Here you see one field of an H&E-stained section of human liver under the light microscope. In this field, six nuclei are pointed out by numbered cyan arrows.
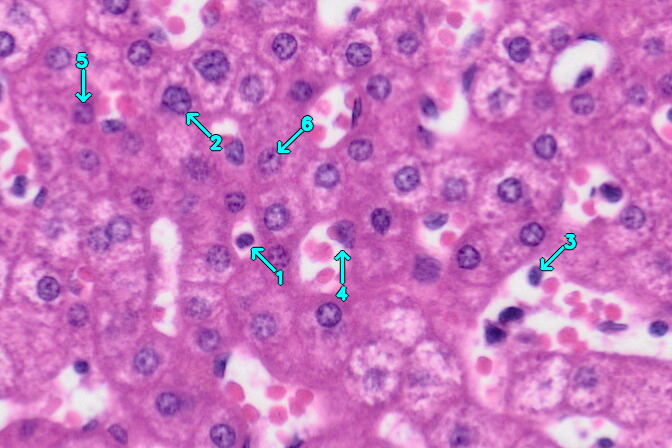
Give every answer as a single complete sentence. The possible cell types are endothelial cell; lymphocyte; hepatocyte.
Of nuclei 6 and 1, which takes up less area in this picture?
The smaller nucleus is 1, and 6 covers roughly 2 times its area.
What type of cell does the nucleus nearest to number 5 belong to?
The cell nearest to number 5 is an endothelial cell.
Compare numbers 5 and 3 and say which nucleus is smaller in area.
Number 3 is smaller, since number 5 takes up about 1.5 times as much area.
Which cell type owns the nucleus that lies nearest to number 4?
The nearest nucleus to number 4 belongs to a hepatocyte.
